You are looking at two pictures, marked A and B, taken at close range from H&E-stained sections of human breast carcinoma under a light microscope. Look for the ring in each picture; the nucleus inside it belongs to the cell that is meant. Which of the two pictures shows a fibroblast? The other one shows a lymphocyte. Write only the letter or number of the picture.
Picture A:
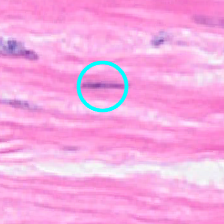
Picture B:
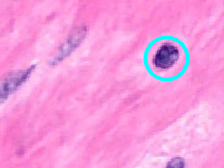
A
